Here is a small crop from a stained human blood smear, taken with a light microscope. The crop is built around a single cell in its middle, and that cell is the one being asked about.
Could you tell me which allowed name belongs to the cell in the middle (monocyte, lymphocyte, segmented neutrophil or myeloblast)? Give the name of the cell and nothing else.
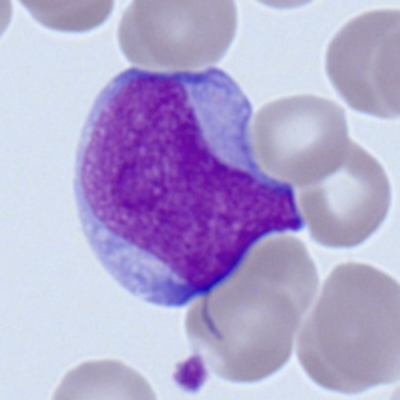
myeloblast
